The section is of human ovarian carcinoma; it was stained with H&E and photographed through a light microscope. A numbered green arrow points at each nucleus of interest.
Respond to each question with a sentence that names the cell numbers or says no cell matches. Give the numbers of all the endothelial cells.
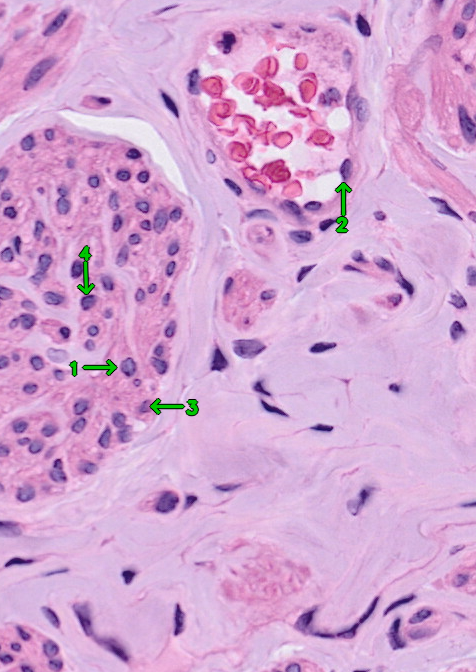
Among the cells marked with numbers, the only one that is an endothelial cell is number 2.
